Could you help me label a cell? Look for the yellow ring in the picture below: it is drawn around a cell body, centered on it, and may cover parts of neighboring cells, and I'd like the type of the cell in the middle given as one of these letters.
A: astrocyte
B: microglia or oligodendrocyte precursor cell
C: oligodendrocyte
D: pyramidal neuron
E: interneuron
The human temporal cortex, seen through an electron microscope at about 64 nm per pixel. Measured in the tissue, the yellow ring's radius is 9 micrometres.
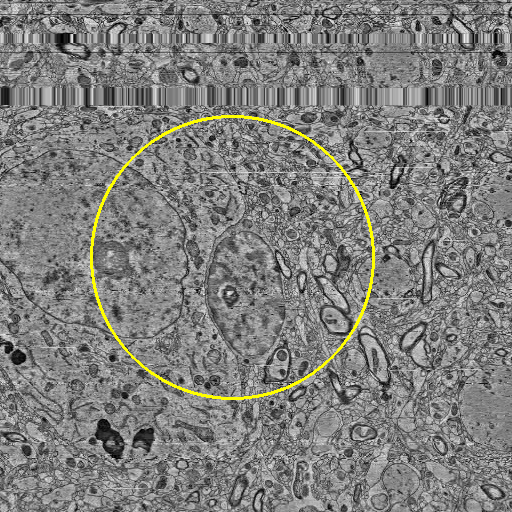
C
